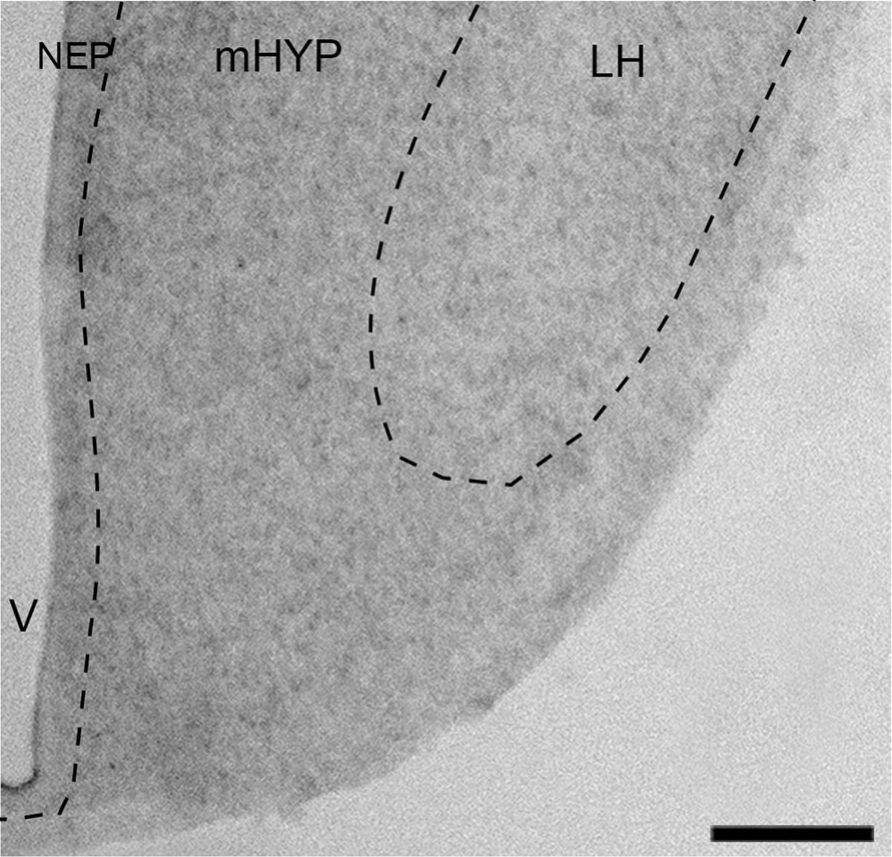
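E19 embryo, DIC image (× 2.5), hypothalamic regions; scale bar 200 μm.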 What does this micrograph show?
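A thin band of tissue lines the ventricle, and dashed lines mark it off from the broader tissue lateral to it. Most of the section is a finely granular, evenly textured neural tissue. Single cells cannot be resolved at this magnification. The outer surface of the tissue curves along the lower right, where it meets a pale, empty background.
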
